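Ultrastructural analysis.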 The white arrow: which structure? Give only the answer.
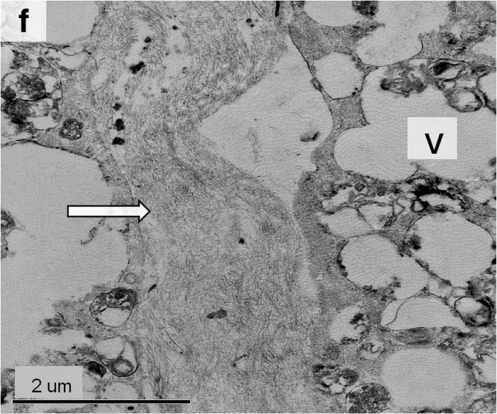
Collagen fibers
